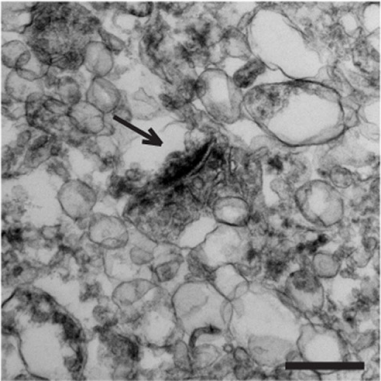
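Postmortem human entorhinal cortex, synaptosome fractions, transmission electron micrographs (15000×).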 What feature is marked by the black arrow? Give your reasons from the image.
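Synapses. The arrow points to a dark, elongated electron-dense thickening. The thickening sits among many rounded membrane-bound profiles.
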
